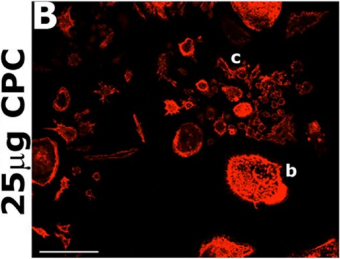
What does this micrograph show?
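The cells differ greatly in size: a few are large and rounded, while many are small, irregular and spread out with short spiky projections. The largest cell, near the lower middle, is filled with a dense field of bright red dots rather than showing a clean ring at its edge. Several medium-sized cells show a red rim at their border with a darker centre.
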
